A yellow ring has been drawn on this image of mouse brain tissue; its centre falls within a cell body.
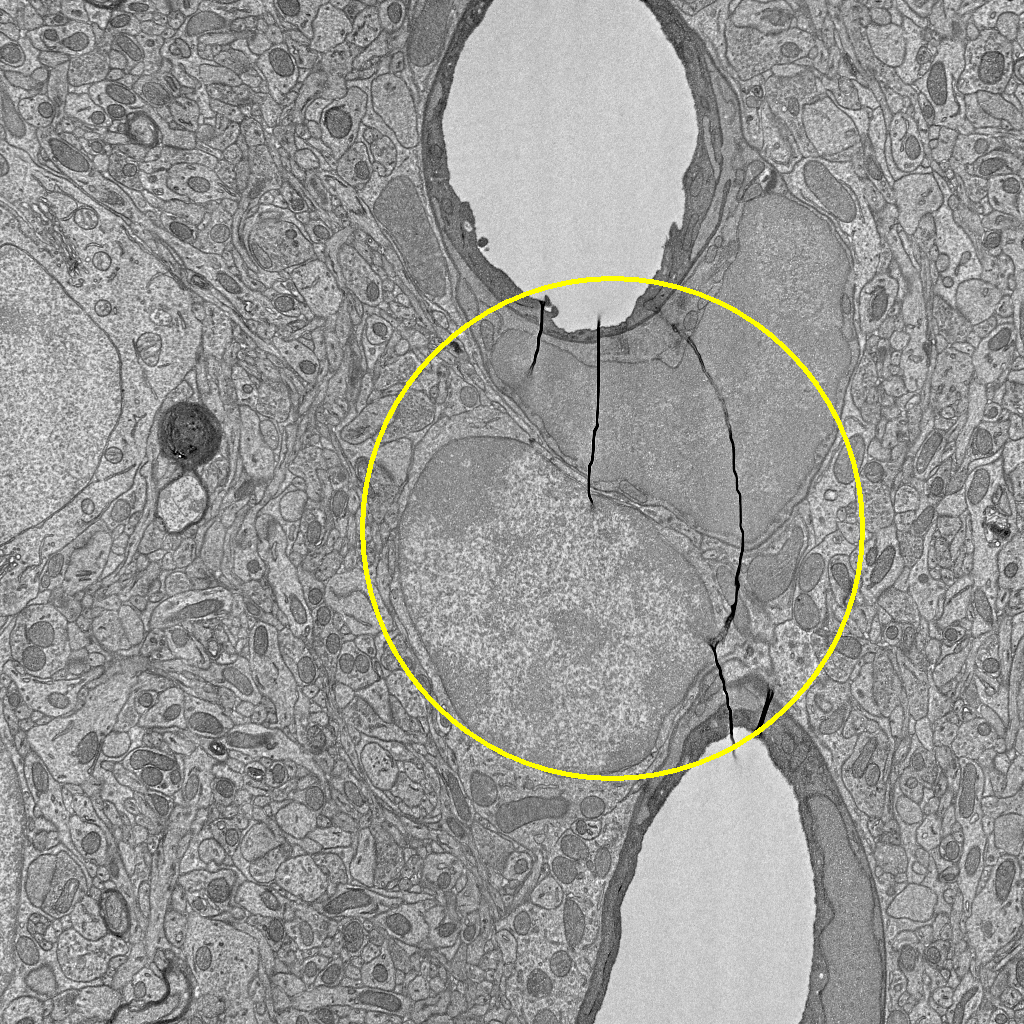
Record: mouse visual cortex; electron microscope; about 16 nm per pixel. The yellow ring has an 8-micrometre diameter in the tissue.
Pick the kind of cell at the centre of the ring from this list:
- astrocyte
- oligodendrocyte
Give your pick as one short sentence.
The centre of the ring holds an oligodendrocyte.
